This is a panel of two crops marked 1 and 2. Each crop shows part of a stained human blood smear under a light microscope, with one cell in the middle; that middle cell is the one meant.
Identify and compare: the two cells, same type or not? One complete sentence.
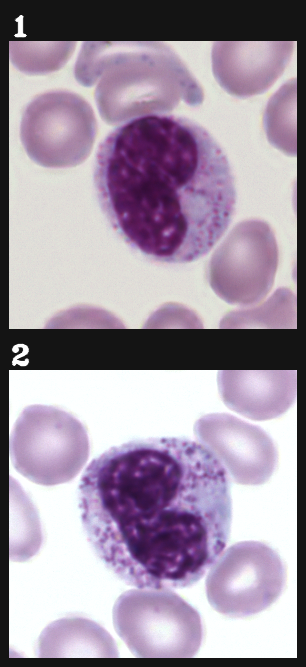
No, crop 1 is to be identified as a metamyelocyte and crop 2 as a band neutrophil.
